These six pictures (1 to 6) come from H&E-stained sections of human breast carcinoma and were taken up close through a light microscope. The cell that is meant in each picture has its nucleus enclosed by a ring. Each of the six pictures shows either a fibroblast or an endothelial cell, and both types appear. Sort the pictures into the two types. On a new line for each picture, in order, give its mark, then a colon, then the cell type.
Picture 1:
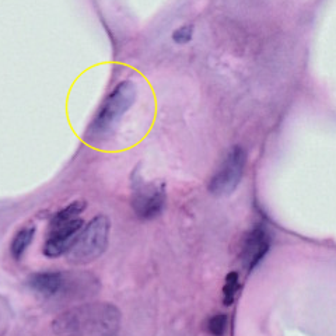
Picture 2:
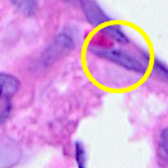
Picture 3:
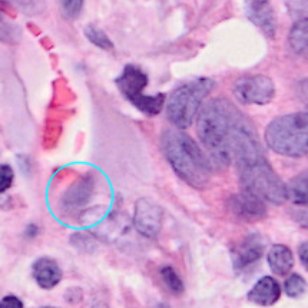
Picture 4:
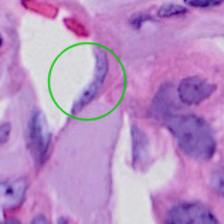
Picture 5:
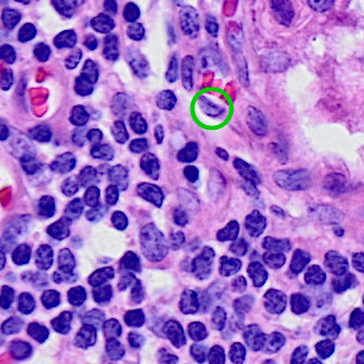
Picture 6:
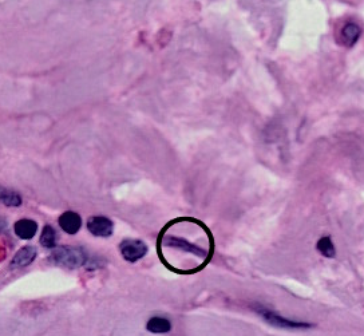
1: fibroblast
2: endothelial cell
3: endothelial cell
4: endothelial cell
5: endothelial cell
6: fibroblast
